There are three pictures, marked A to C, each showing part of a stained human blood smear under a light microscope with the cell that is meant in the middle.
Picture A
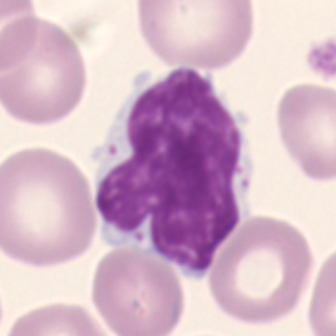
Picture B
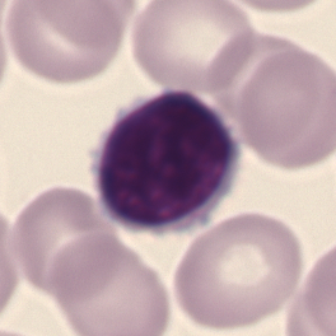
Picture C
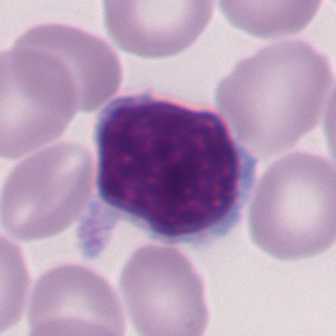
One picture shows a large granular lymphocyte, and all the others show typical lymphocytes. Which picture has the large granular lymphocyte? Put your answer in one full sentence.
The picture with the large granular lymphocyte is A.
